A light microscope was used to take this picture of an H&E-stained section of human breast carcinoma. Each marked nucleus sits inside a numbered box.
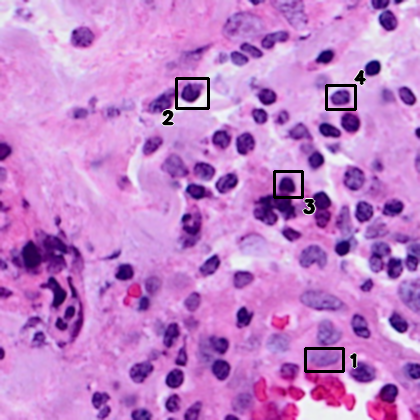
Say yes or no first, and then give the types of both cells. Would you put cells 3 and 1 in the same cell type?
No, a lymphocyte is what cell 3 is, and an endothelial cell is what cell 1 is.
